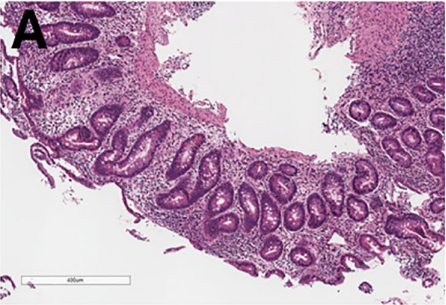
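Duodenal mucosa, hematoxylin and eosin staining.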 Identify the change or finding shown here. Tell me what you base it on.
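Complete villous atrophy. The mucosal surface is flat with no finger-like projections. Crypts lie in a dense cellular lamina propria directly beneath the surface.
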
